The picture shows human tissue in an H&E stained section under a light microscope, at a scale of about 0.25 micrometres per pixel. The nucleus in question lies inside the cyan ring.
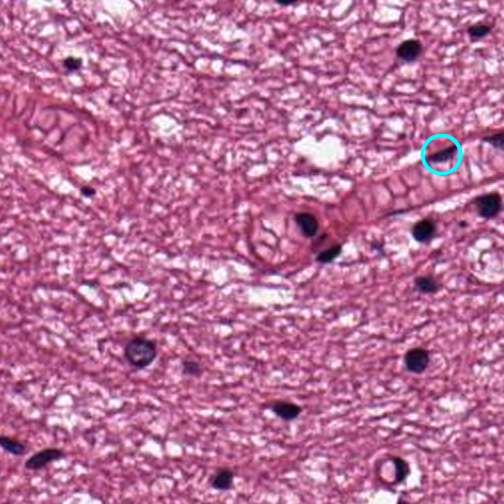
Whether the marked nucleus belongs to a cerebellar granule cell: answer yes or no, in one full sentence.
No, it is a supporting cell, not a cerebellar granule cell, to which the marked nucleus belongs.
